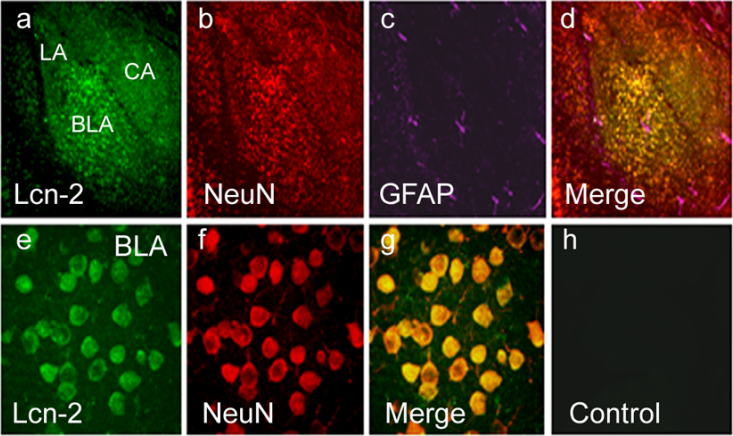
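Purple label is sparse, forming thin scattered threads and small bright specks rather than cell bodies. At high power, green and red both fill rounded neuronal cell bodies, some with a short tapering process, and the overlay turns them yellow to orange, showing the two labels in the same cells. The final square is almost uniformly dark.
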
